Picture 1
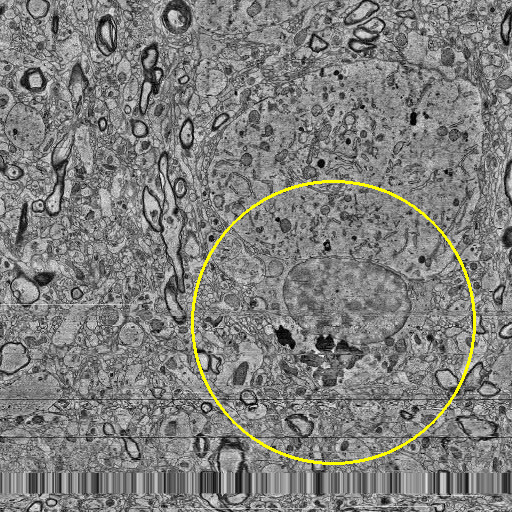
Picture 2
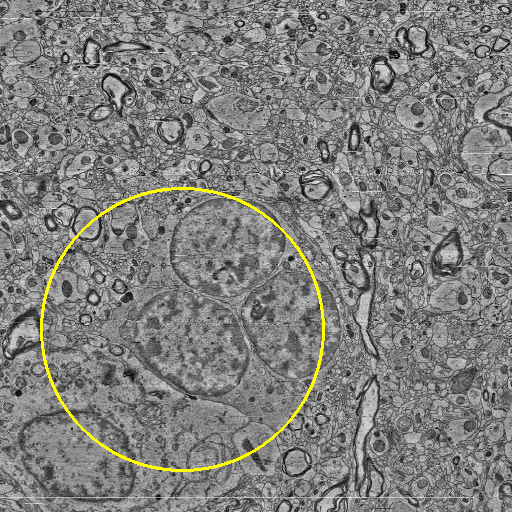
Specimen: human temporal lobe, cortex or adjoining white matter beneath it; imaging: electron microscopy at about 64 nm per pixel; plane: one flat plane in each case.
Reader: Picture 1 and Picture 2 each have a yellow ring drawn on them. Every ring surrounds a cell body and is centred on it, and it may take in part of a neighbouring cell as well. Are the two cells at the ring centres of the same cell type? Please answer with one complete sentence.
Yes, both cells are of the same cell type.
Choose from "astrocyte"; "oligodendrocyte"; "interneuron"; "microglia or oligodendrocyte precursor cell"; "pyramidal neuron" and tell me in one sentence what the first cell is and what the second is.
Each of the two rings is centred on an oligodendrocyte.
